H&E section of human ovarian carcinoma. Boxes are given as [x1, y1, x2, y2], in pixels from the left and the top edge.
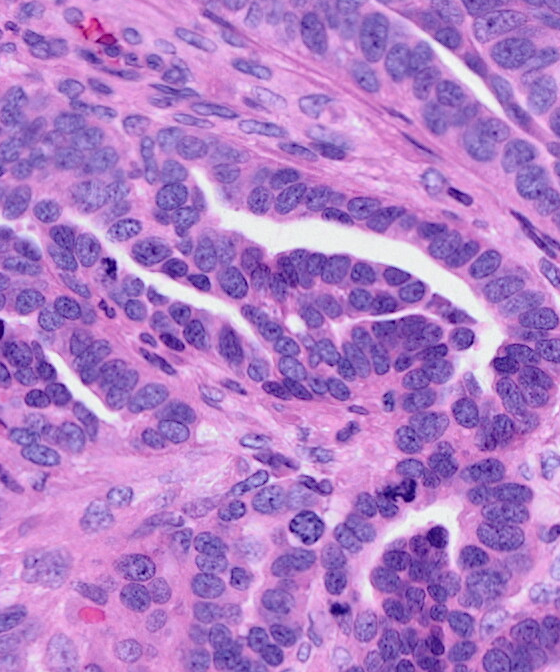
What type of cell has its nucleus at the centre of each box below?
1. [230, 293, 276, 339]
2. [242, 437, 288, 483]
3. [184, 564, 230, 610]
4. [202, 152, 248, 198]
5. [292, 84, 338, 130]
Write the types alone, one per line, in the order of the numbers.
carcinoma cell
fibroblast
carcinoma cell
carcinoma cell
fibroblast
